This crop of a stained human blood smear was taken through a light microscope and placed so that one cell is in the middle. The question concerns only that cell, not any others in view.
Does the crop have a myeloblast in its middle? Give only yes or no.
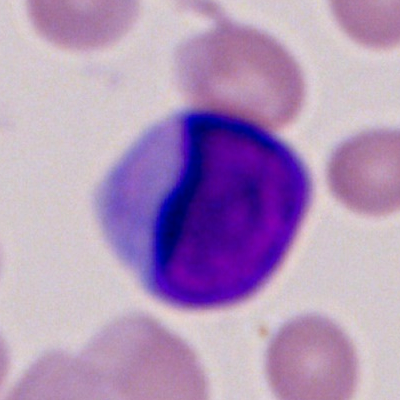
yes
